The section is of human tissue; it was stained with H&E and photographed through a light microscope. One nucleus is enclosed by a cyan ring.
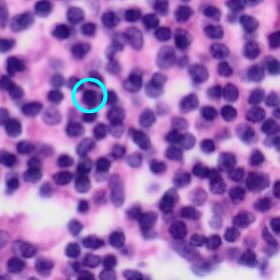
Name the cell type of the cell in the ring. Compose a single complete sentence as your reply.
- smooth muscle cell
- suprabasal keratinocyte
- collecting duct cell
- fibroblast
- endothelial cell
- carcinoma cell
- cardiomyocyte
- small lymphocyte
In this tissue sample, the cell in the ring is a small lymphocyte.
